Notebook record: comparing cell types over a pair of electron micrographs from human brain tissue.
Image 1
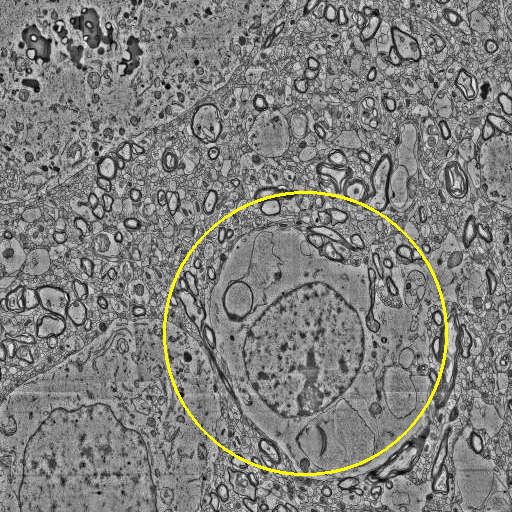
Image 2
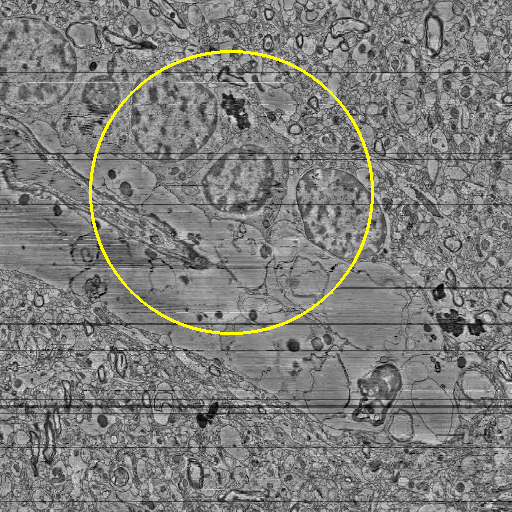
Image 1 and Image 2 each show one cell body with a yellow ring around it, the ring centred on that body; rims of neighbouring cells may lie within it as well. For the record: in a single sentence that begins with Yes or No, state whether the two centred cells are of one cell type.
No, two cell types are found among the centred cells of Image 1 and Image 2.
